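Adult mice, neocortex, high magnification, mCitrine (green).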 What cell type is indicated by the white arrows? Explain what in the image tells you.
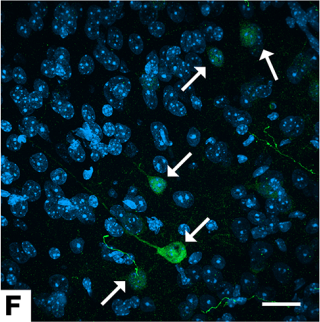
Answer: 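The arrows point to green-filled cell bodies among blue nuclei. One marked cell body gives off a thin process. On this evidence: neocortical neurons.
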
